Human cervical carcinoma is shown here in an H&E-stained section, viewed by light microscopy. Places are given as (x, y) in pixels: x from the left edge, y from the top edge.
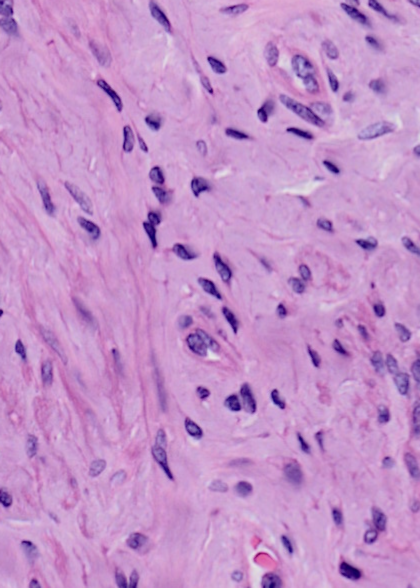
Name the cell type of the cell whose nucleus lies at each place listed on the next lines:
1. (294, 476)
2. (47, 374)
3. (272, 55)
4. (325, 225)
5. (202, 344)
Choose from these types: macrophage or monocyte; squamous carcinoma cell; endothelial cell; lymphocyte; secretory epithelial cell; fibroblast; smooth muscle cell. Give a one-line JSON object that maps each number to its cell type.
{"1": "fibroblast", "2": "smooth muscle cell", "3": "endothelial cell", "4": "smooth muscle cell", "5": "endothelial cell"}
